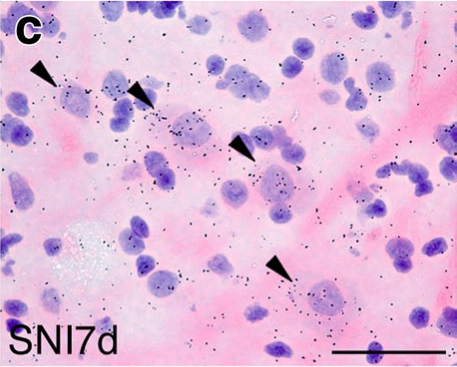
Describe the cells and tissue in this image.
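Many cells with round to oval purple nuclei lie scattered in a pale pink background, some with larger, paler nuclei and others with small dark nuclei. Over several of the larger pale cells, small black grains gather in clusters, while elsewhere the grains are thinly scattered.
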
